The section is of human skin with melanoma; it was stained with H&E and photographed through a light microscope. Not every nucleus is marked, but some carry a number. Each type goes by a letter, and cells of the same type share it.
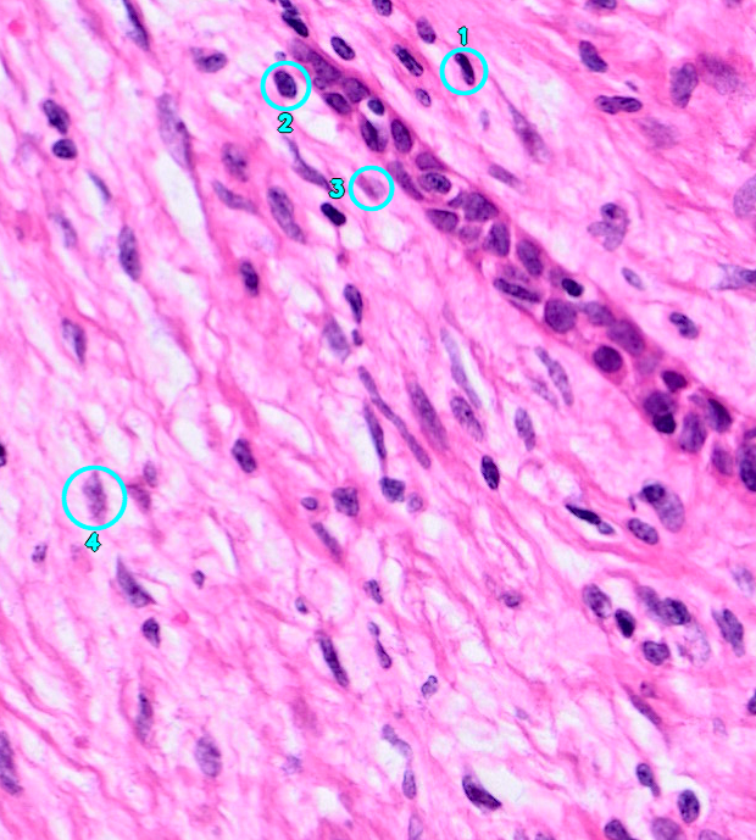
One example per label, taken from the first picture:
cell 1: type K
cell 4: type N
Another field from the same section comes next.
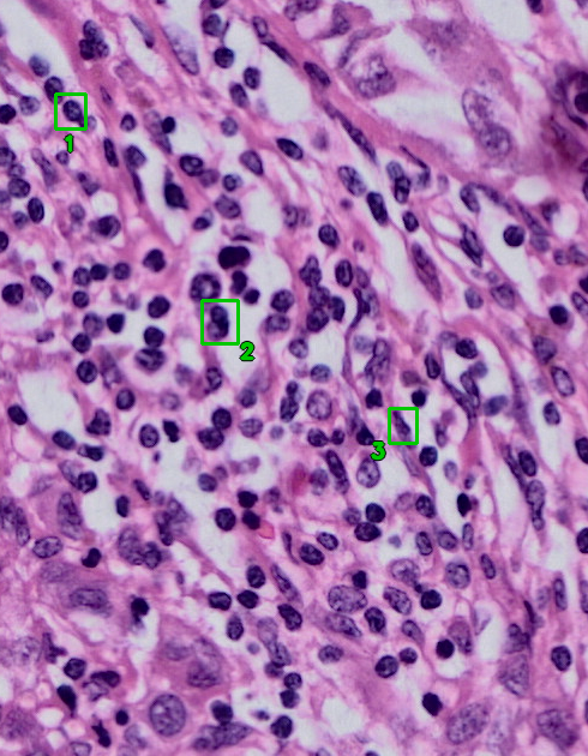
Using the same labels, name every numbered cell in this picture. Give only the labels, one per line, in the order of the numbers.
type K
type K
type N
